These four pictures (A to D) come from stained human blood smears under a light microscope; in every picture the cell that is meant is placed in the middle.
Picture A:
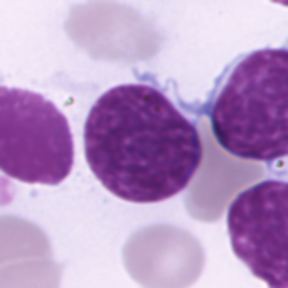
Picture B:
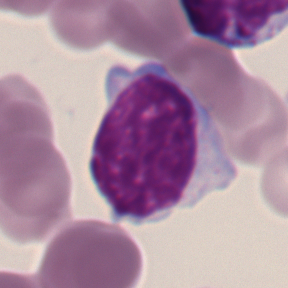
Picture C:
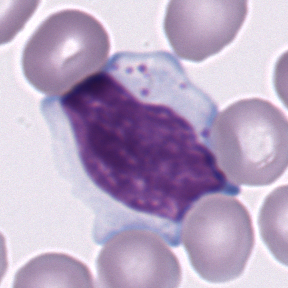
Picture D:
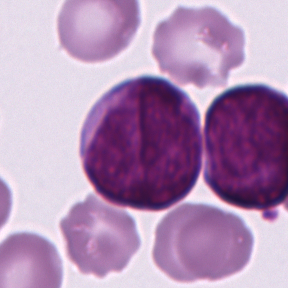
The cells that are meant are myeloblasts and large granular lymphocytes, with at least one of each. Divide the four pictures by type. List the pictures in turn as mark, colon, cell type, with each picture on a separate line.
A: myeloblast
B: large granular lymphocyte
C: large granular lymphocyte
D: myeloblast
